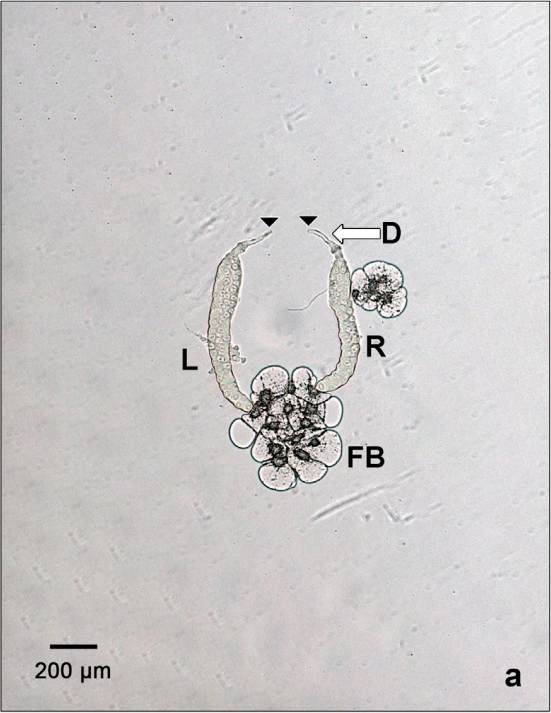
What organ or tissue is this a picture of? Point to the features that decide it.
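Salivary glands. Two paired elongated tubular lobes joined at one end by a cluster of rounded cells. Each tube tapers at its free end into a thin duct.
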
